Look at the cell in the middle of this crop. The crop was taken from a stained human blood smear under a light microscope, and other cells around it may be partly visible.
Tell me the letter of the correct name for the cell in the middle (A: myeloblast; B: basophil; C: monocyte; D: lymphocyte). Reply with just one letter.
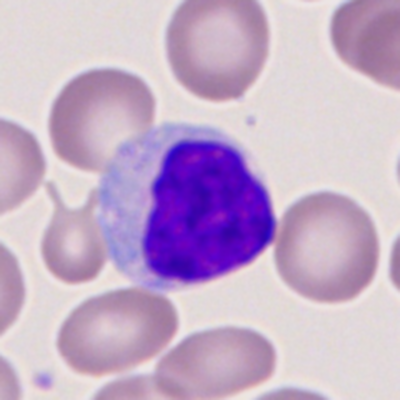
D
